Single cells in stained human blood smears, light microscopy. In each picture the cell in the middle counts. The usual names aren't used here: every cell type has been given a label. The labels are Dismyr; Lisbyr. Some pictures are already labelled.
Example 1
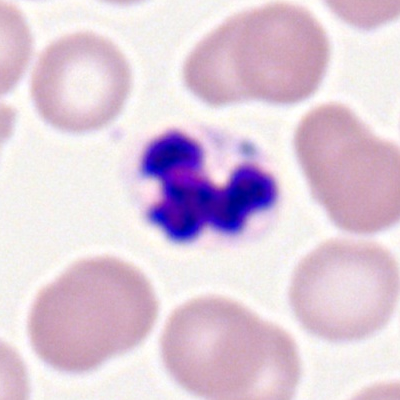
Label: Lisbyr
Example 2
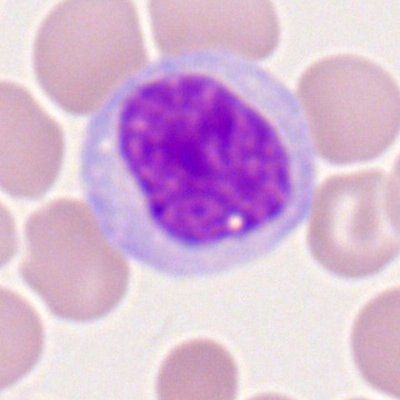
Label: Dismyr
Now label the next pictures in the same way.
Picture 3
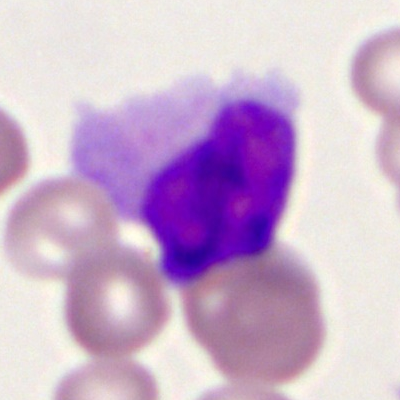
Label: Dismyr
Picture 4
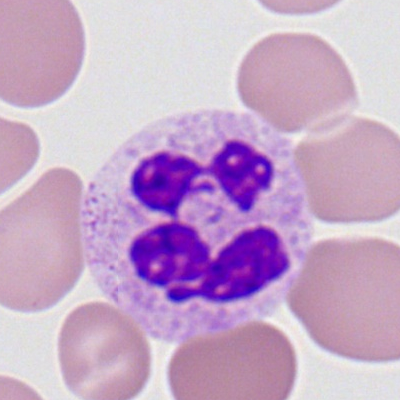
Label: Lisbyr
